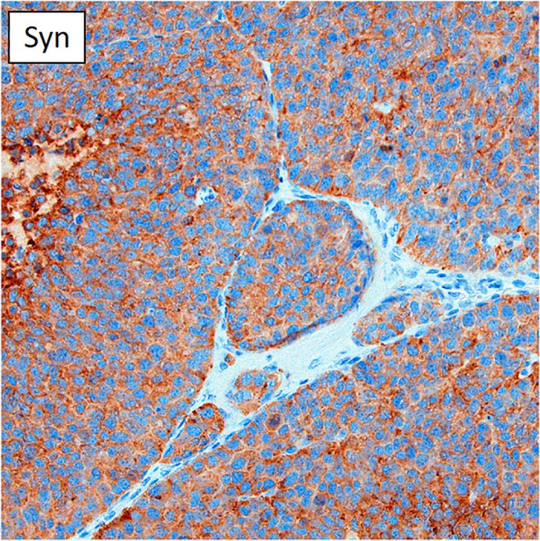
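This is a solid tumour of closely packed cells arranged in sheets and rounded nests, divided by thin septa. The tumour cells carry diffuse, finely granular brown staining in their cytoplasm, while their round to oval nuclei stay blue. The brown colour is strongest in patches, especially toward the upper left, where it is dense and clumped. The fibrous septa and the flattened, elongated nuclei of the stromal cells within them are unstained and pale blue, so the nests stand out sharply against the branching stroma.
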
